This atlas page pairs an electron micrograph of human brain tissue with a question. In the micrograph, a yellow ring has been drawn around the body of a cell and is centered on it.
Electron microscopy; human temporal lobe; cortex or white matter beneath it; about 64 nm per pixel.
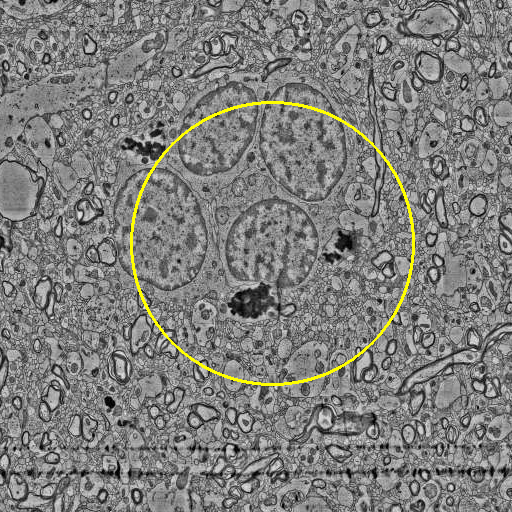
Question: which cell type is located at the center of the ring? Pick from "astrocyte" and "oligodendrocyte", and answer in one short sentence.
Located at the center of the ring is an oligodendrocyte.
